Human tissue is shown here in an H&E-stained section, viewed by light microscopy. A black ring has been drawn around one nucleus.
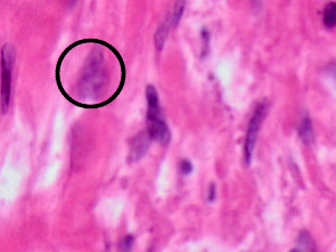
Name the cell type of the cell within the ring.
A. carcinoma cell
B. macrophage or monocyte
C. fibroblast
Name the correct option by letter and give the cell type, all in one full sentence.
That the cell within the ring is a fibroblast makes option C the correct choice.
